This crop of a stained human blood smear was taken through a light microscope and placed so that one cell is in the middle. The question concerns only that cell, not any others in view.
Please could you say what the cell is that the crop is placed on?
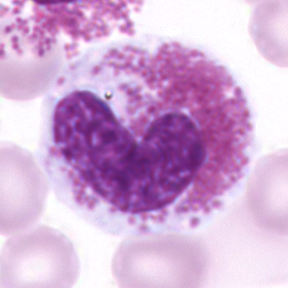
eosinophil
